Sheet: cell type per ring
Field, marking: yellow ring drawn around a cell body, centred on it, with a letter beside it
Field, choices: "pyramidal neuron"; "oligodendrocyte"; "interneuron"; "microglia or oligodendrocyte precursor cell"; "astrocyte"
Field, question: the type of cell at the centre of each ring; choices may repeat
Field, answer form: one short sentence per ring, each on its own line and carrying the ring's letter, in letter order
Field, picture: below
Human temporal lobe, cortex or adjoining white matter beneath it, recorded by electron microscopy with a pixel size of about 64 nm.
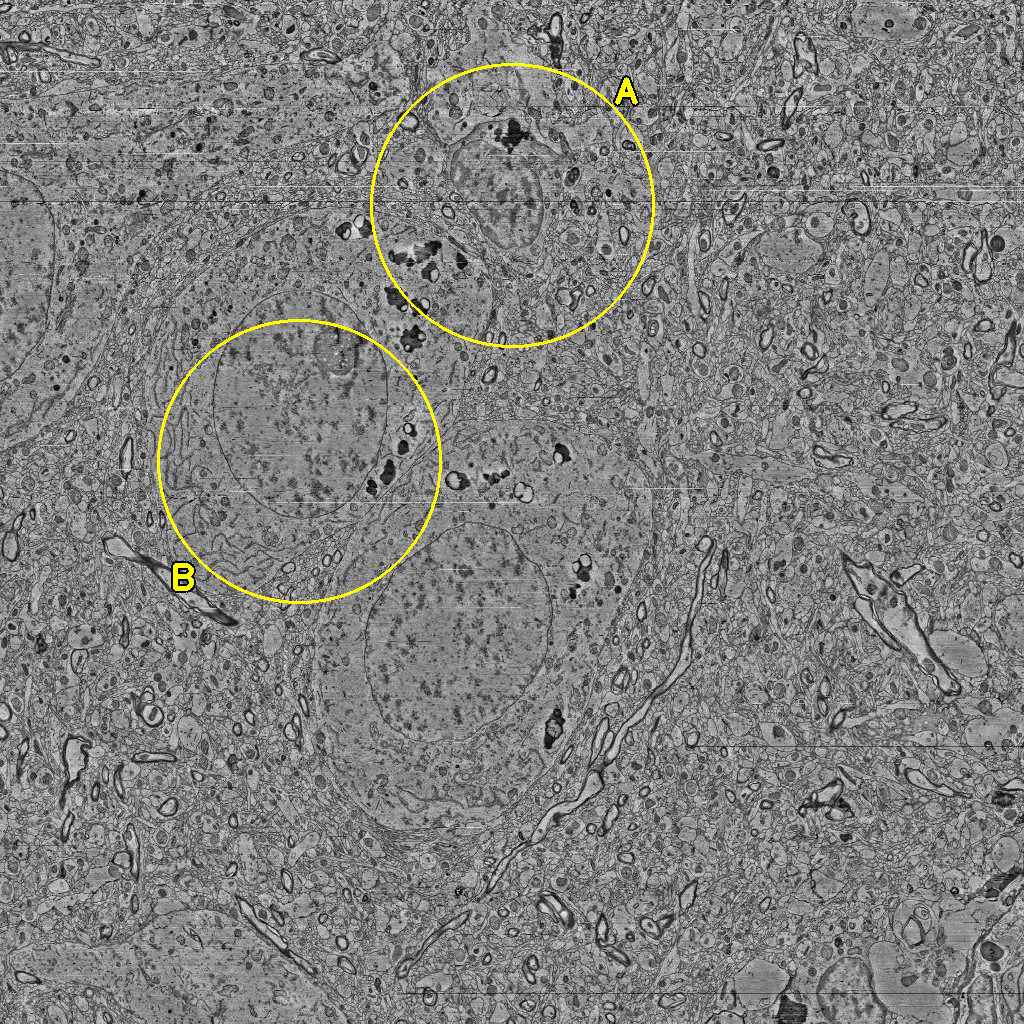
The cell body inside ring A, at its centre, is an oligodendrocyte.
The cell body inside ring B, at its centre, is a pyramidal neuron.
